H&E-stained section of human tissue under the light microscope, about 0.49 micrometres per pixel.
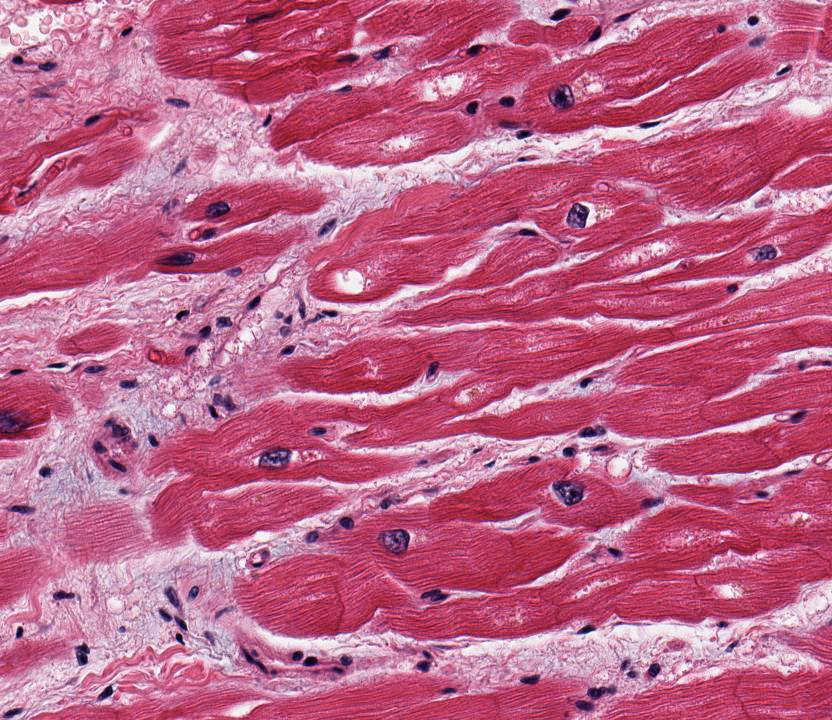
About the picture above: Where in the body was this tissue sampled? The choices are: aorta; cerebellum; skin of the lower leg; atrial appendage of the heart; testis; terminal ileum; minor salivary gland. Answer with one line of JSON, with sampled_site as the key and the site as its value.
{"sampled_site": "atrial appendage of the heart"}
